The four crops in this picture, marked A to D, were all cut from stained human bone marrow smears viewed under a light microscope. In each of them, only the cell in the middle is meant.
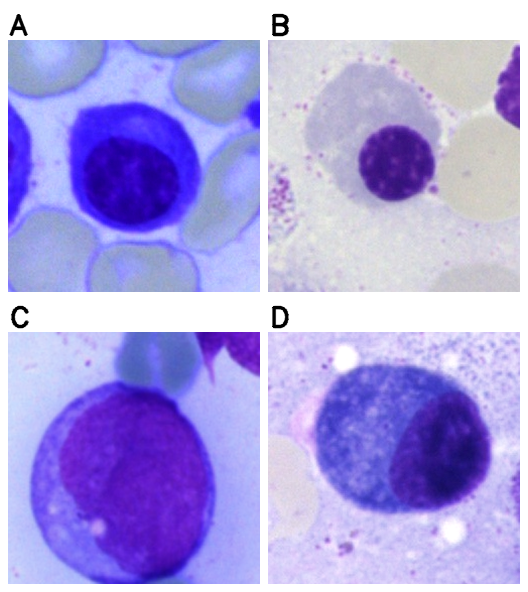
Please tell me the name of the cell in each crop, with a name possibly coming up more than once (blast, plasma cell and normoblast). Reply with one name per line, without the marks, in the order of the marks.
plasma cell
normoblast
blast
plasma cell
